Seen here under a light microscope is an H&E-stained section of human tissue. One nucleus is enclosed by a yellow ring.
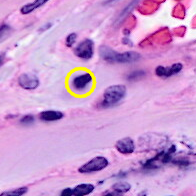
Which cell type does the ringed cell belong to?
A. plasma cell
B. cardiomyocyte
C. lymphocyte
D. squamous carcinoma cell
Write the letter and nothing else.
C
